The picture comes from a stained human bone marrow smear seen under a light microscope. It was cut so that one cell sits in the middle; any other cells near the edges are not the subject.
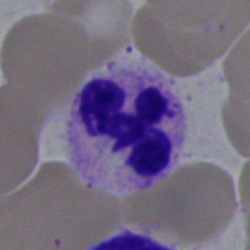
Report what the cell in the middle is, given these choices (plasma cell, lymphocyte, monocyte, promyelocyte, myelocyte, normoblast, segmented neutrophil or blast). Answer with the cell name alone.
segmented neutrophil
